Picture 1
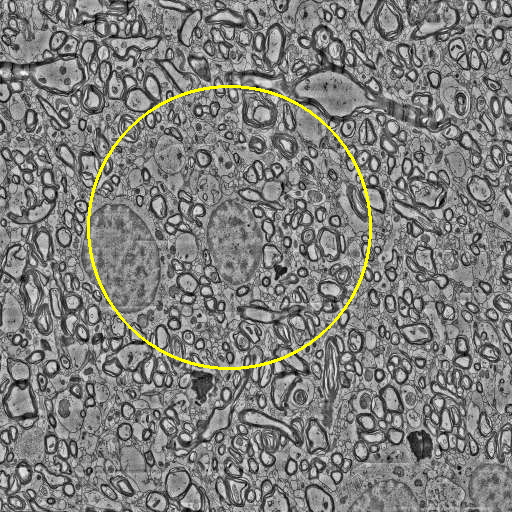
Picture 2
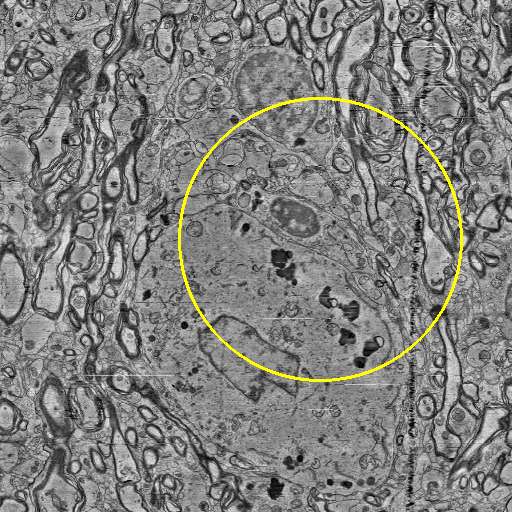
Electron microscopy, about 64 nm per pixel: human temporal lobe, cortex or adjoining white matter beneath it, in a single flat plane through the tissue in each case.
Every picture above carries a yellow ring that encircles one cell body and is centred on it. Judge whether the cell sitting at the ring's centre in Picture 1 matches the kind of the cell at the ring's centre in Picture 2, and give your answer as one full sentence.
No, the cells centred in the rings of Pictures 1 and 2 belong to two kinds.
